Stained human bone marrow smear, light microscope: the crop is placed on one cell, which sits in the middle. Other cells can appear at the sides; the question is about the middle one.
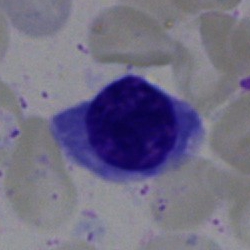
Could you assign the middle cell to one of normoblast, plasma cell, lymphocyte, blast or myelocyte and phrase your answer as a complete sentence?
Within this crop, a normoblast occupies the central position.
